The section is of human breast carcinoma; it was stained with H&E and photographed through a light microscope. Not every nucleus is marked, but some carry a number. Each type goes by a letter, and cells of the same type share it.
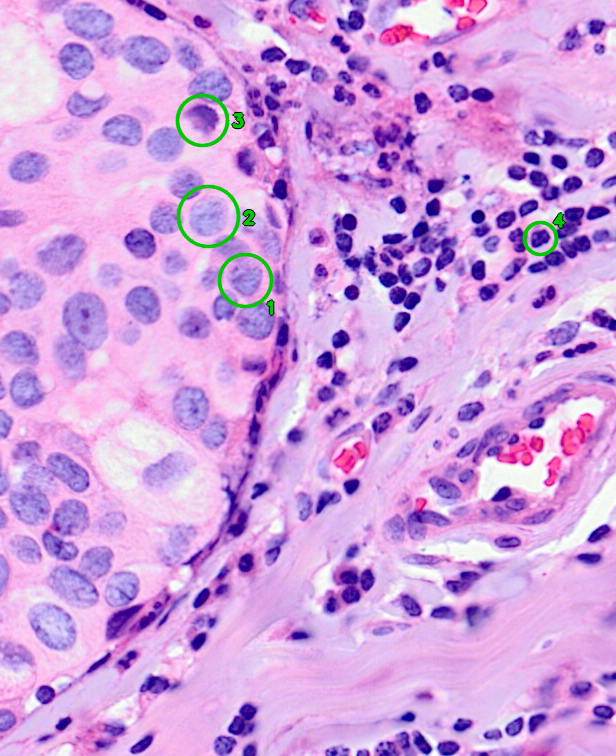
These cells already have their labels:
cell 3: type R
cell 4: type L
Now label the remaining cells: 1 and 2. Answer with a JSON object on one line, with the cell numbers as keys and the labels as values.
{"1": "type R", "2": "type R"}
